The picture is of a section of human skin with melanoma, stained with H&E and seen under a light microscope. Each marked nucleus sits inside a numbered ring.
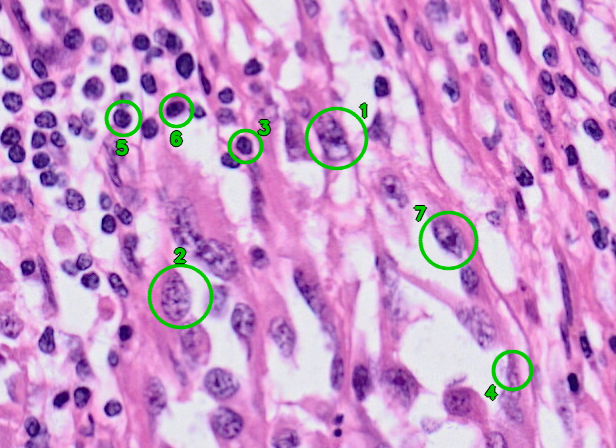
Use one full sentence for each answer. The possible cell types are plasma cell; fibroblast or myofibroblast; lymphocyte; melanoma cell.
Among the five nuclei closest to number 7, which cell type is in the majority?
Melanoma cells account for more than half of the five nuclei nearest to number 7.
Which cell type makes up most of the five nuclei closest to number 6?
Of the five nuclei nearest to number 6, most belong to lymphocytes.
